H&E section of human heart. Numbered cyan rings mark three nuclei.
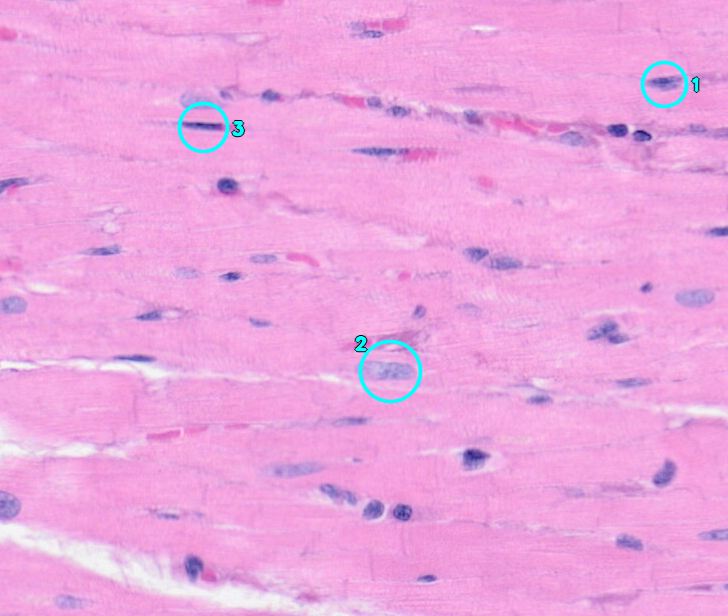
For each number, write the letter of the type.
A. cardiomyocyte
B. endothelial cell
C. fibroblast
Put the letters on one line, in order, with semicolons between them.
B; A; B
